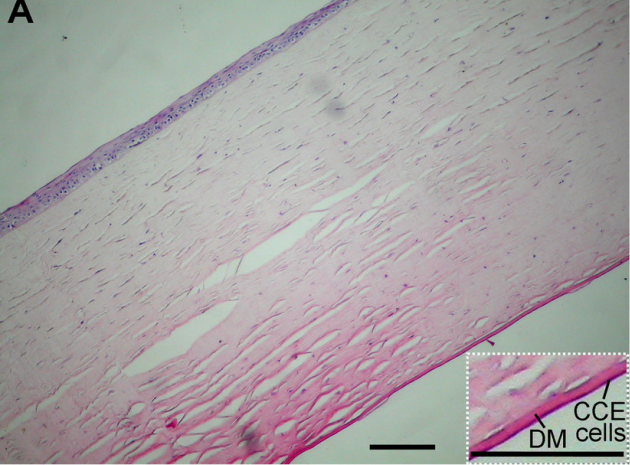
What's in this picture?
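This is a full-thickness section of cornea with a stratified epithelium of several layers of purple-nucleated cells along the upper left surface. Most of the thickness is stroma made of pale pink, parallel collagen lamellae with sparse, thin, elongated keratocyte nuclei lying between them, and some empty clefts separate the lamellae.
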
